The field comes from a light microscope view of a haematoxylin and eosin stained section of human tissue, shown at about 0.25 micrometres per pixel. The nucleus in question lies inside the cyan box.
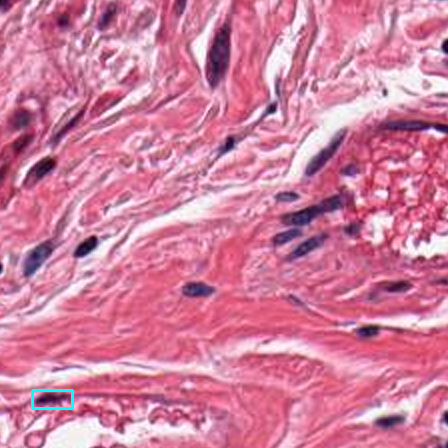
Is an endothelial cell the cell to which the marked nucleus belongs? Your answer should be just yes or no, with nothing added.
yes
